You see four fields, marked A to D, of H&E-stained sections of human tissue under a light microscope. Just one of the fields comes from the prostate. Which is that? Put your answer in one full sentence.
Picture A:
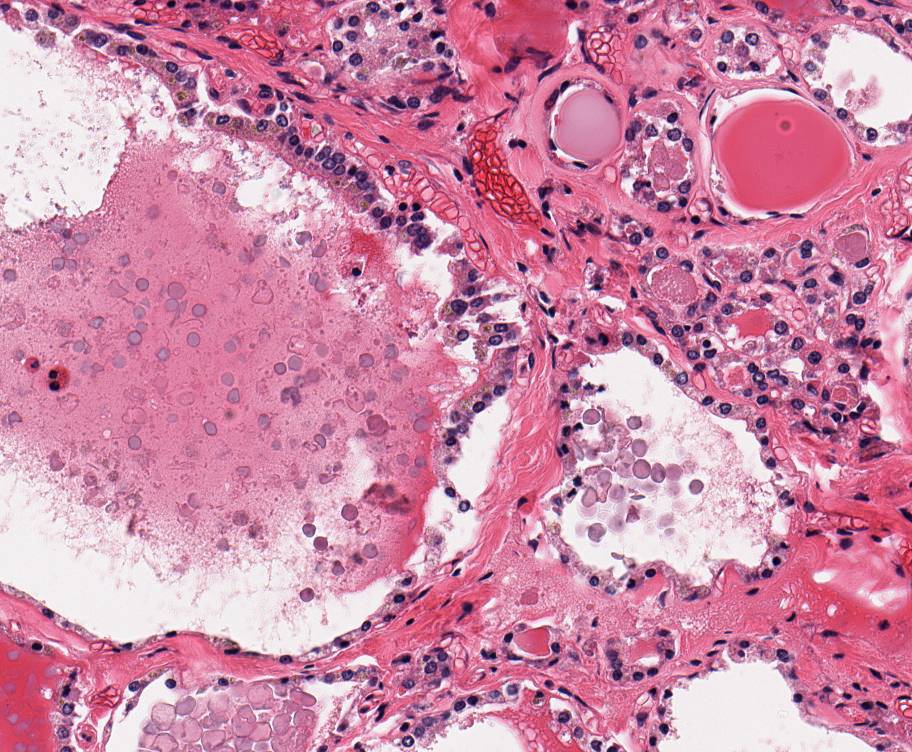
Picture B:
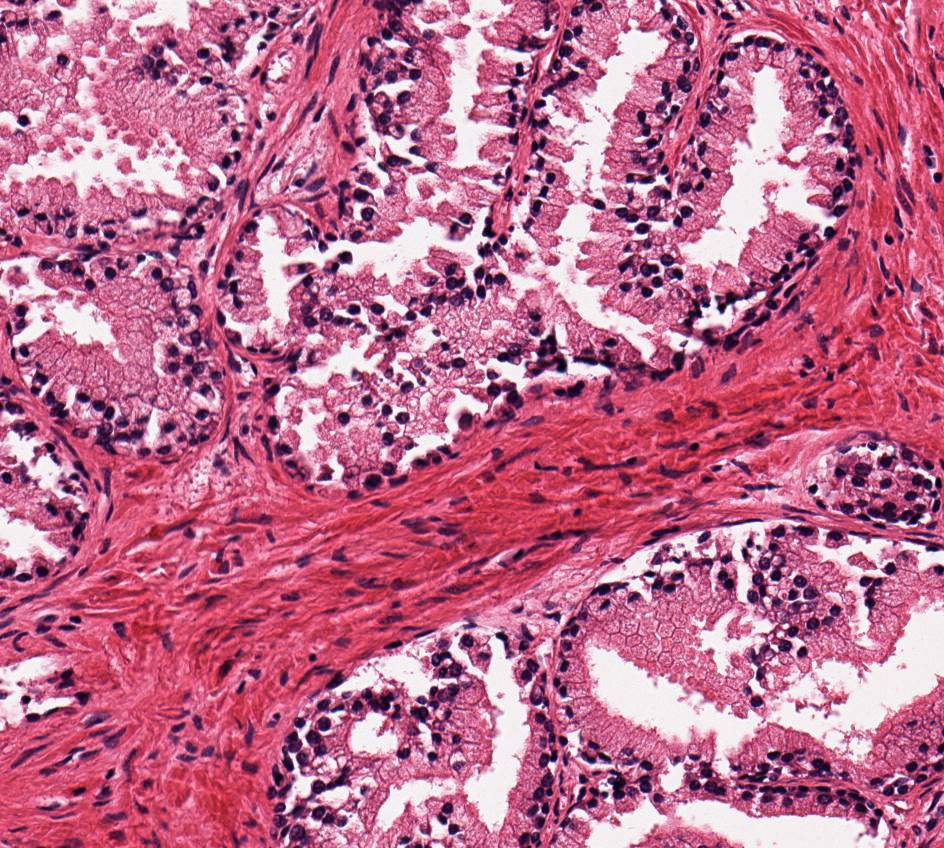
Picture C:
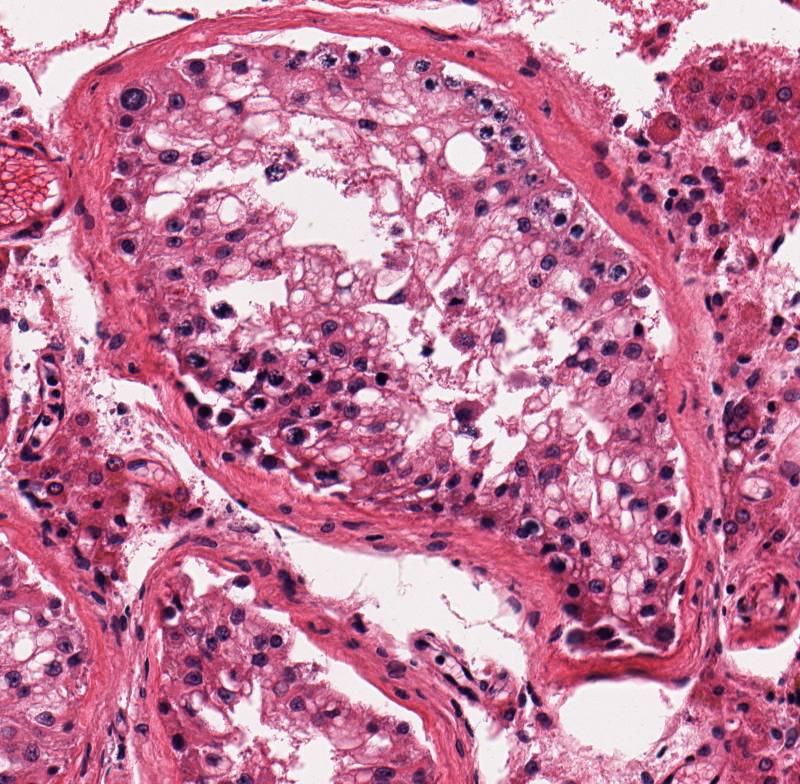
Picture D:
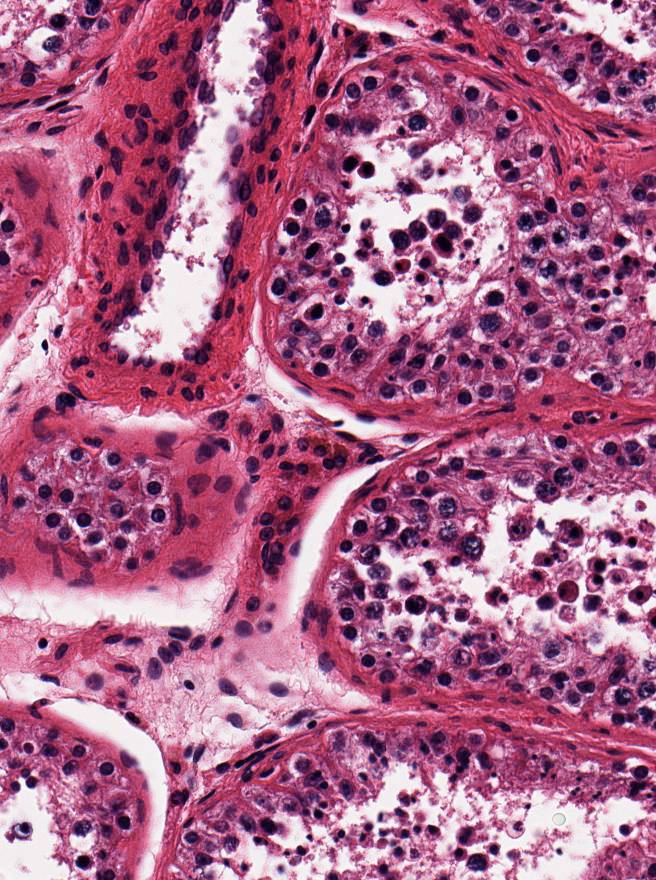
Picture B comes from the prostate.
